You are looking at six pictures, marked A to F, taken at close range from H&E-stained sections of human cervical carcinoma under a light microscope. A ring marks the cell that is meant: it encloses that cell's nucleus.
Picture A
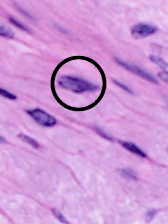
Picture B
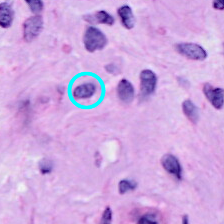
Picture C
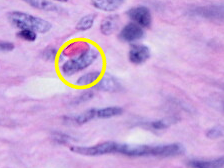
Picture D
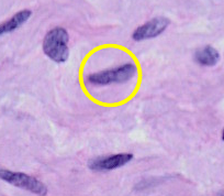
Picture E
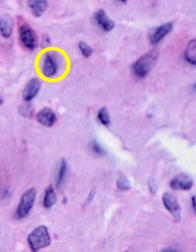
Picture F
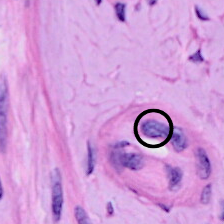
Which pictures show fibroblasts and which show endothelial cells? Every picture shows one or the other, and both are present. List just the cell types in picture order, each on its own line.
fibroblast
fibroblast
endothelial cell
fibroblast
fibroblast
endothelial cell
